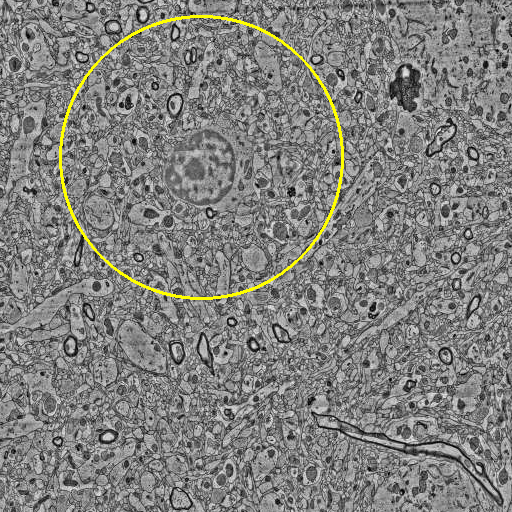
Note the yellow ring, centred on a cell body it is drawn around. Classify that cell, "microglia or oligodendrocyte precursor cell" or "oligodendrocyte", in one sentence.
The cell the ring is centred on is an oligodendrocyte.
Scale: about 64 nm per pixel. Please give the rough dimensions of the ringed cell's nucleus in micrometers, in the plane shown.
In this plane, the nucleus of the cell at the centre of the ring is about 5 micrometres across.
